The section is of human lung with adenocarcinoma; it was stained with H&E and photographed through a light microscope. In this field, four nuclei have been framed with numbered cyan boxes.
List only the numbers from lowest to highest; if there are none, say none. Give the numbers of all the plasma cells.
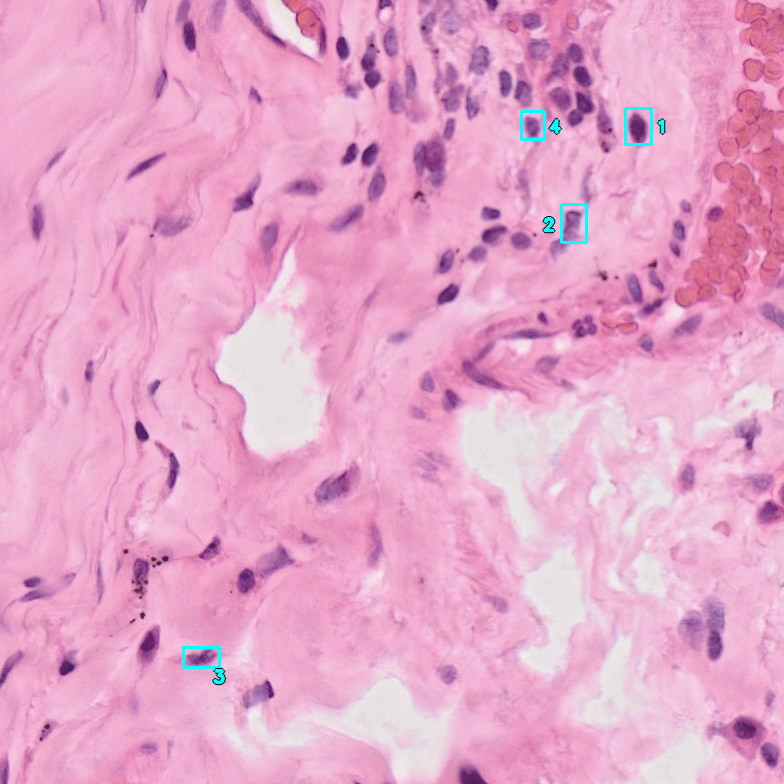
1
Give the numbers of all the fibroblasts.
2, 3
